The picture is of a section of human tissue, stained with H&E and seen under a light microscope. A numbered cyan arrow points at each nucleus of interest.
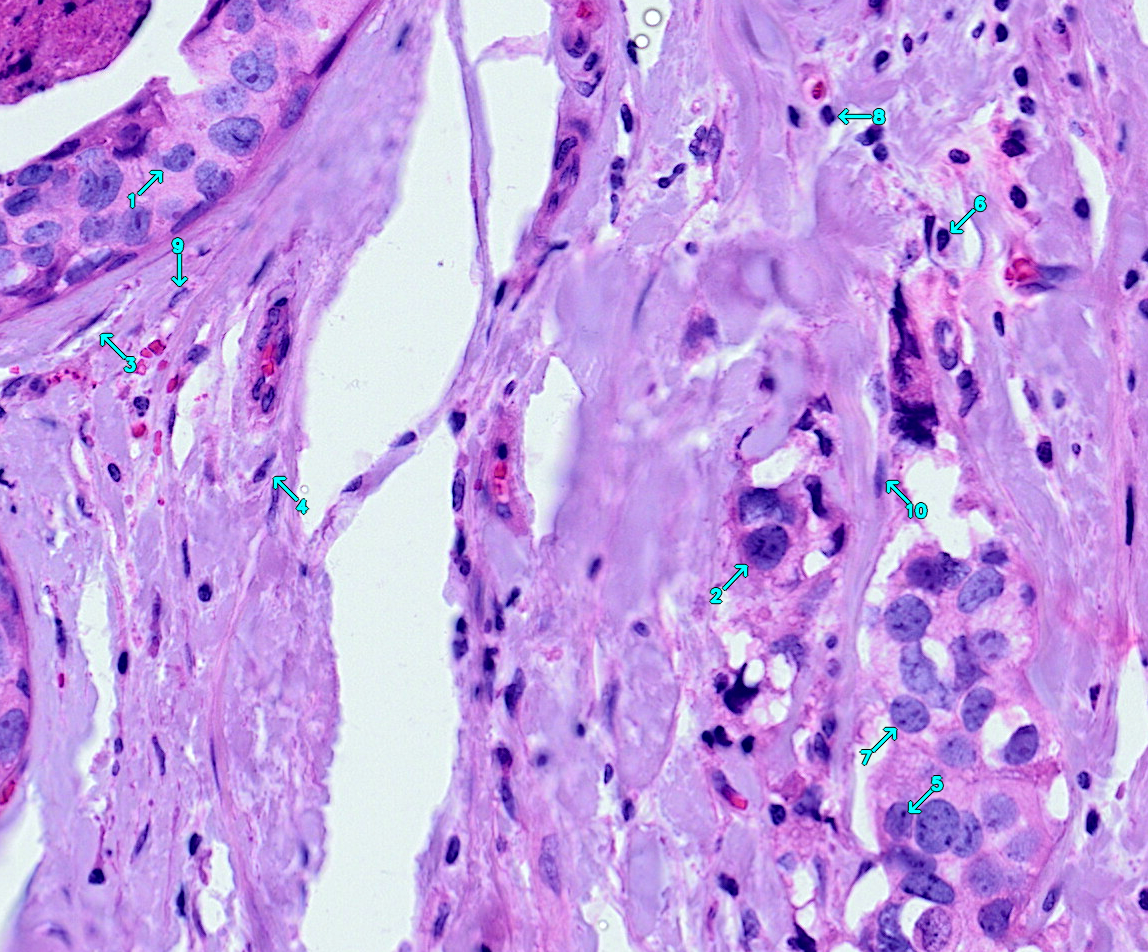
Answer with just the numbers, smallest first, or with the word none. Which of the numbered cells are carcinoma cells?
1, 2, 5, 7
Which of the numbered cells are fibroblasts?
3, 4, 9, 10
